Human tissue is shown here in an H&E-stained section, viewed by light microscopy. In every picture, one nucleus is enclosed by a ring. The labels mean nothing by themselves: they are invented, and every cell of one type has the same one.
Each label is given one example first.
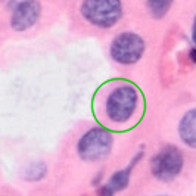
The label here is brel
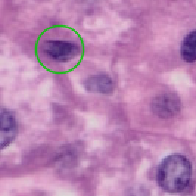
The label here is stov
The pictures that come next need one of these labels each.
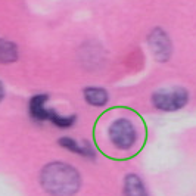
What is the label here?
brel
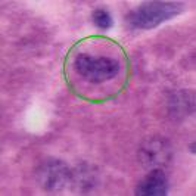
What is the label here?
stov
